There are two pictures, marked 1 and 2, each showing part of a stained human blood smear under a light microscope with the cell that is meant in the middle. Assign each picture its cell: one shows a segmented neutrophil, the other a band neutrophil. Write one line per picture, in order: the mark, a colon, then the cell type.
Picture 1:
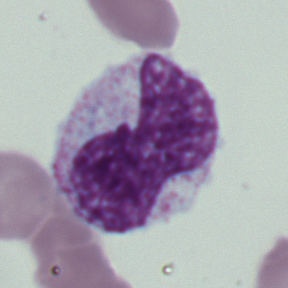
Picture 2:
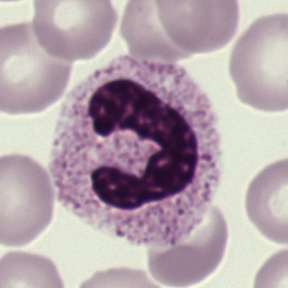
1: band neutrophil
2: segmented neutrophil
